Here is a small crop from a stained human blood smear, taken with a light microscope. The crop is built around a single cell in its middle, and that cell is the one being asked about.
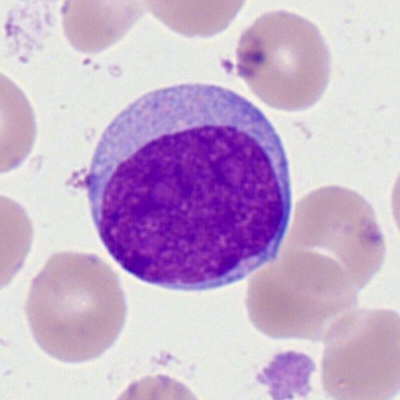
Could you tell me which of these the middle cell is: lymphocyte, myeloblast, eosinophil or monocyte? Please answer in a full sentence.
Where the crop is centred, there is a myeloblast.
